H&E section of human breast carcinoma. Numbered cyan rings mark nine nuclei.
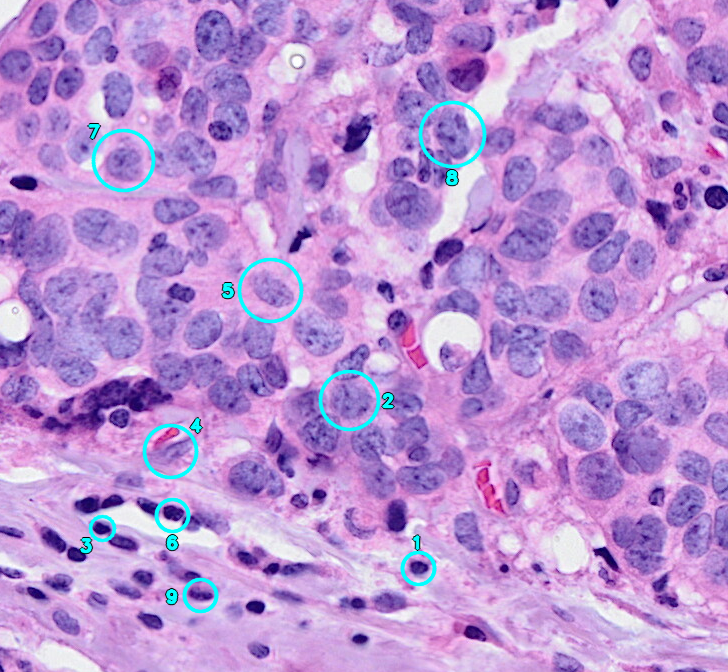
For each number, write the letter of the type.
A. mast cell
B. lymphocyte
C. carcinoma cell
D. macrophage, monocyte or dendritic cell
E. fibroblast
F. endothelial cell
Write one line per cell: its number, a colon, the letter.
1: B
2: C
3: B
4: F
5: C
6: B
7: C
8: C
9: B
